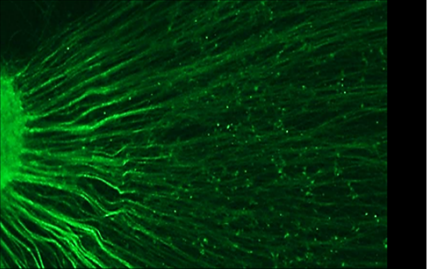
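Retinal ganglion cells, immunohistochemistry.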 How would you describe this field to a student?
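Long axons radiate from a bright, dense cell mass at the left edge and spread across the field. The fibres are thin and partly gathered into small bundles, some slightly wavy near their origin, with many small bright dots scattered among them.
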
